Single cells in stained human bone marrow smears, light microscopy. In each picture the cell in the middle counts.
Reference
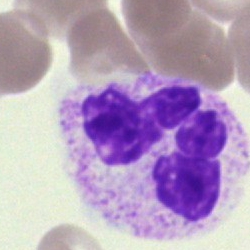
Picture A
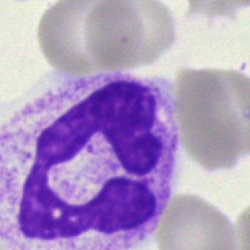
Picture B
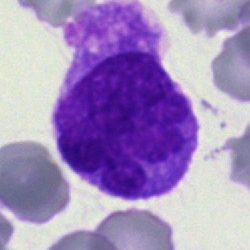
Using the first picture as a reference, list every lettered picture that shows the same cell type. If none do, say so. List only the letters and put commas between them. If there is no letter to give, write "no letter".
A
